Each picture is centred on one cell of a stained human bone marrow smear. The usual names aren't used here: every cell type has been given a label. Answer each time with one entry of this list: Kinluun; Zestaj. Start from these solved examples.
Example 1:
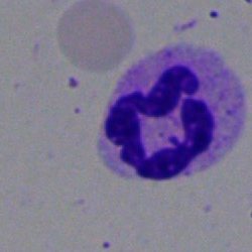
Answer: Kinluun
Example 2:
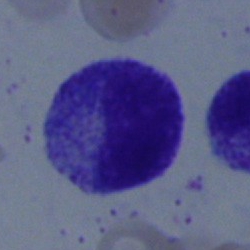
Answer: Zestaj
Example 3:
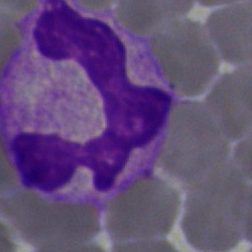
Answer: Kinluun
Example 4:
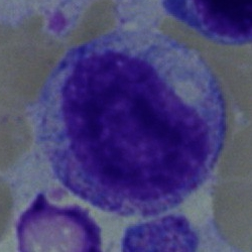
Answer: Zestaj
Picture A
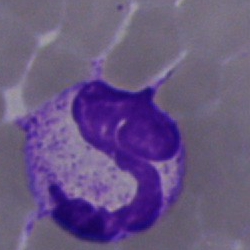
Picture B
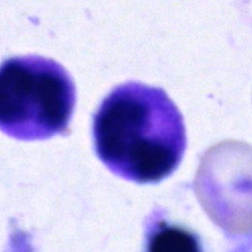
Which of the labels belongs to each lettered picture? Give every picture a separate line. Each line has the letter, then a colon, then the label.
A: Kinluun
B: Kinluun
